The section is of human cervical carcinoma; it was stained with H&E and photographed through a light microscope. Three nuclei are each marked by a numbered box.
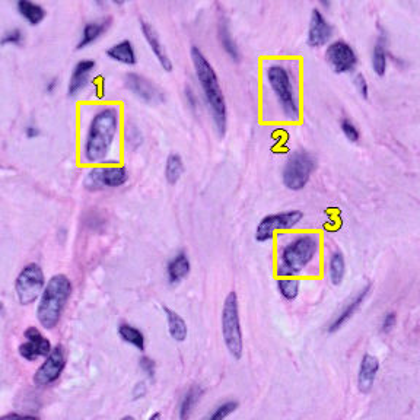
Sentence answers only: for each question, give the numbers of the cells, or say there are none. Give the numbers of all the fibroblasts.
The one cell that is a fibroblast is cell 2, and no other.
